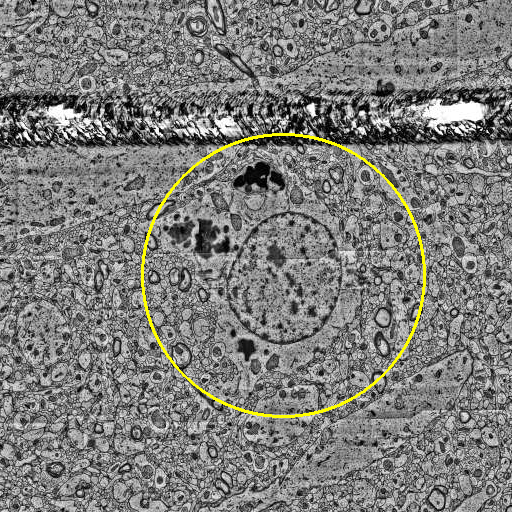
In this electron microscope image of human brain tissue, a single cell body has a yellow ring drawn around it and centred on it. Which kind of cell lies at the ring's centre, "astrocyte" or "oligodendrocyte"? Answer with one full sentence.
It is an astrocyte whose cell body lies at the centre of the yellow ring here.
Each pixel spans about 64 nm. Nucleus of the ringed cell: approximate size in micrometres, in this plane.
The nucleus comes to roughly 8 by 7 micrometres in this plane.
